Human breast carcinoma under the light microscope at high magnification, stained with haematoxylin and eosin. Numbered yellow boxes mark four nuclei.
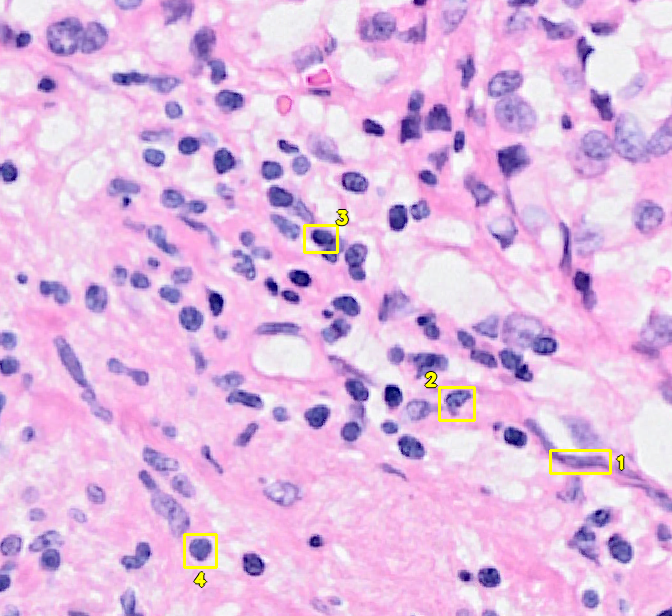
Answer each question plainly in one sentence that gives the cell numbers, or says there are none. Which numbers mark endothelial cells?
Only the nucleus marked 1 is that of an endothelial cell.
